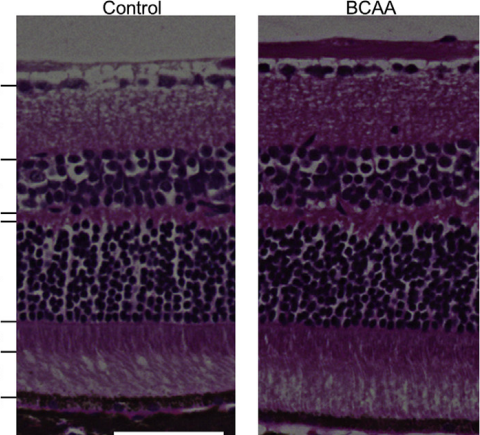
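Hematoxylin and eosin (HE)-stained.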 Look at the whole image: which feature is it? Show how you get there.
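Tissue is stratified into alternating layers of dense purple nuclei and pink fibrous bands. A thick layer of tightly packed small dark nuclei lies below a thinner nuclear layer. A pale striated band lies above a dark pigmented layer at the bottom. The answer: vertical retinal sections.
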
